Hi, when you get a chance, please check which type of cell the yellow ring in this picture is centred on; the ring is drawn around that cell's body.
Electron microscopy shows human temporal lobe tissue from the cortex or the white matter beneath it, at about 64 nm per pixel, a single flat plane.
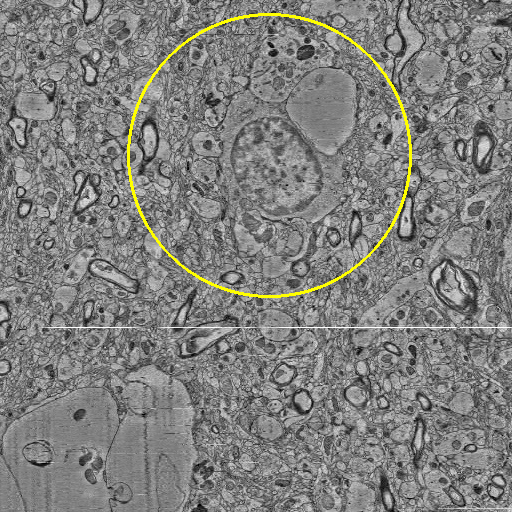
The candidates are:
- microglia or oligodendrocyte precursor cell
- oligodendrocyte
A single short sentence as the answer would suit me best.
The ring is drawn around the body of an oligodendrocyte.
